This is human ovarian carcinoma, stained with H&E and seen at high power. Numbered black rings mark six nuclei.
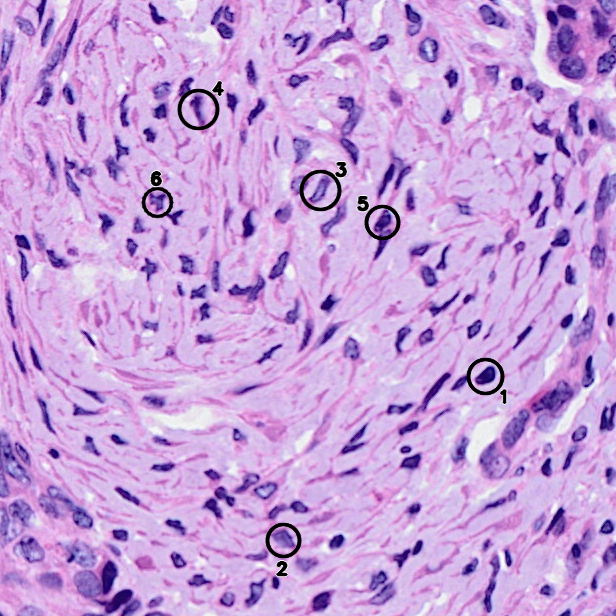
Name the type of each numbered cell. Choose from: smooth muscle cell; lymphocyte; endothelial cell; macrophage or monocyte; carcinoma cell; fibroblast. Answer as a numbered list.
1. lymphocyte
2. fibroblast
3. fibroblast
4. fibroblast
5. lymphocyte
6. fibroblast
